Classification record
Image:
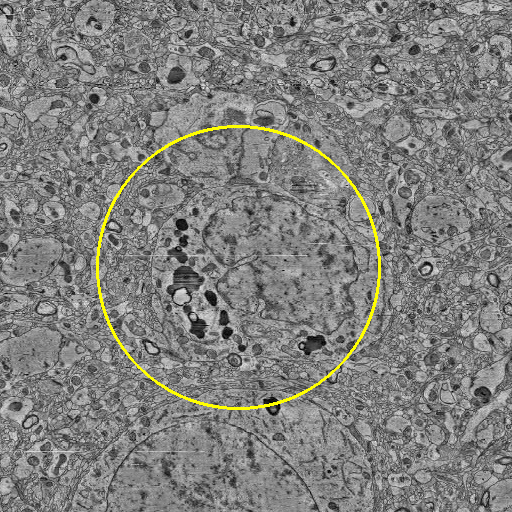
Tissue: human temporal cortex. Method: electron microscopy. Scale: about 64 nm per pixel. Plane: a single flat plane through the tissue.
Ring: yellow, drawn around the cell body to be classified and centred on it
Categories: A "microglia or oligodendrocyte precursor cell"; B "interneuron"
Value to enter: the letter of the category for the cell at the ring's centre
B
